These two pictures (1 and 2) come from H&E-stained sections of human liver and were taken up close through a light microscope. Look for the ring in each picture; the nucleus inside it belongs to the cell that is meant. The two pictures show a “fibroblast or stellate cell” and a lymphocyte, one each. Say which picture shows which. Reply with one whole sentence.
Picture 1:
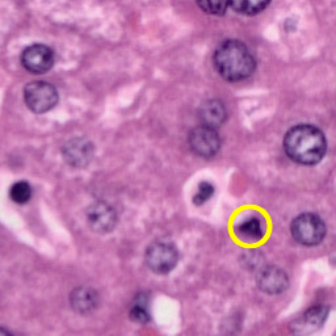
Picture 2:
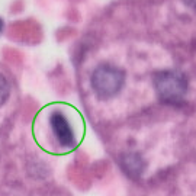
Picture 1 is of a “fibroblast or stellate cell”, and picture 2 is of a lymphocyte.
